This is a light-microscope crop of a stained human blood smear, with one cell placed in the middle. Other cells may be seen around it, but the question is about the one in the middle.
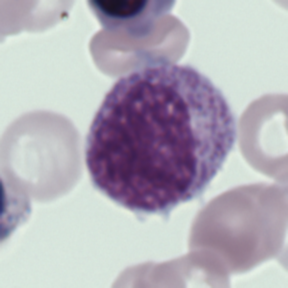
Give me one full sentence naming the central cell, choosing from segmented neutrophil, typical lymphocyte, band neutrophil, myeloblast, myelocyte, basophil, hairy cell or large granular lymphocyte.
In short, the cell at the center is a myelocyte.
